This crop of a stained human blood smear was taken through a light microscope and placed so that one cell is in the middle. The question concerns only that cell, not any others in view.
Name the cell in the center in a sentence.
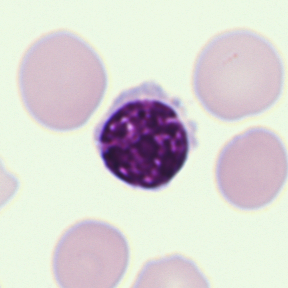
The cell of interest, located centrally, is an erythroblast.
